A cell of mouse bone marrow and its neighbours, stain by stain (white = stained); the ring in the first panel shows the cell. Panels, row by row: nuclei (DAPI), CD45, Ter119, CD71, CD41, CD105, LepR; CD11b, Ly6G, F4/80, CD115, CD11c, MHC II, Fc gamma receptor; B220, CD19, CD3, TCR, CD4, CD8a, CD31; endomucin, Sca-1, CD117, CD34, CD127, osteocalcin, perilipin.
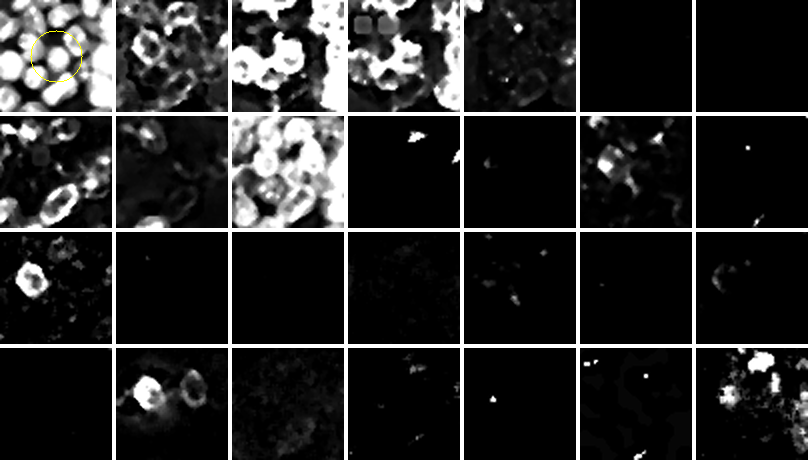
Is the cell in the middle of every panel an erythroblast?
Yes, it is an erythroblast.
